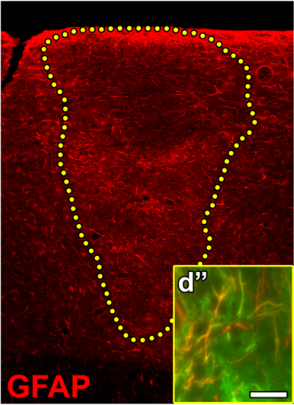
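The fibres are thin and branching rather than forming round cell bodies, and they weave through the whole field, both inside and outside the dotted triangular outline. A denser, brighter red band runs along the upper edge of the tissue. In the enlarged inset, slender red fibres run in parallel with and across green processes, some overlapping as yellowish stretches, against a diffuse green background.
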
